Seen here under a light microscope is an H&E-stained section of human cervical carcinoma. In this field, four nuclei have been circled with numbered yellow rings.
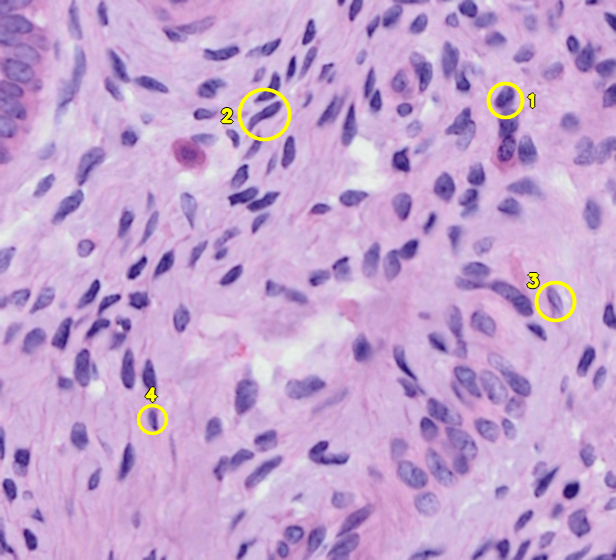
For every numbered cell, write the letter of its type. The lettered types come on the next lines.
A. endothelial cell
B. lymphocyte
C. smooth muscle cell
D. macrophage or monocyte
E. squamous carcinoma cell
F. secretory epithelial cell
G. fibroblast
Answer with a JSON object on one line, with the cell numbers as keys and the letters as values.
{"1": "G", "2": "G", "3": "C", "4": "G"}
